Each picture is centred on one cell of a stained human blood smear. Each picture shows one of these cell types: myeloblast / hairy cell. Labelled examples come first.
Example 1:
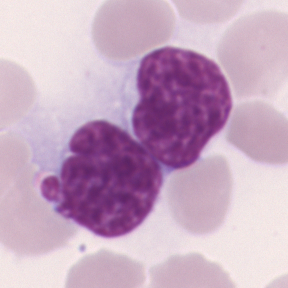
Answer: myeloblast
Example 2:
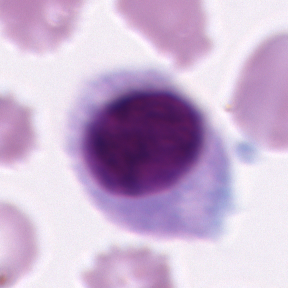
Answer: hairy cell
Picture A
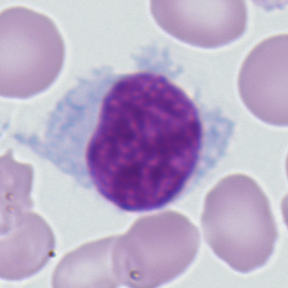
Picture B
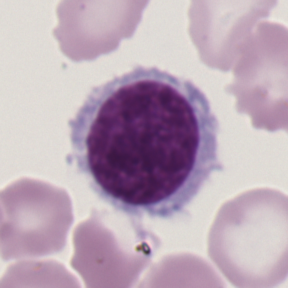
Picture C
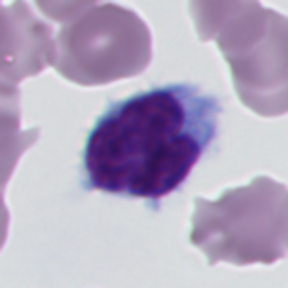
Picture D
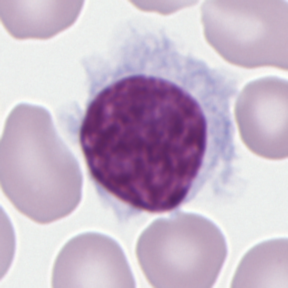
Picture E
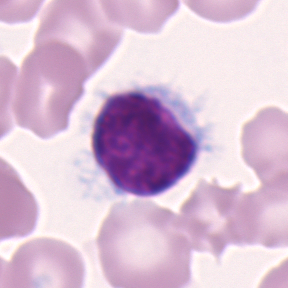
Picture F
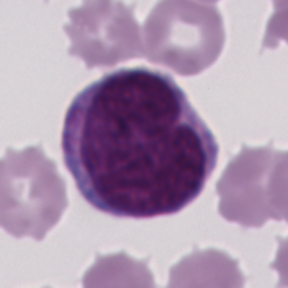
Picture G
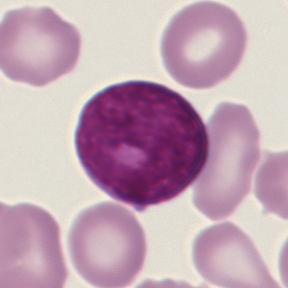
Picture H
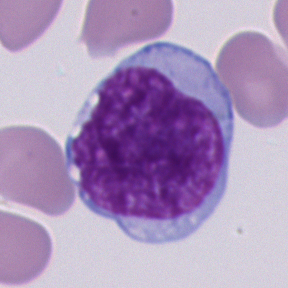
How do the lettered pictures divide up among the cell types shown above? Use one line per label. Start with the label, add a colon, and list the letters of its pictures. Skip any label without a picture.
myeloblast: F, G, H
hairy cell: A, B, C, D, E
